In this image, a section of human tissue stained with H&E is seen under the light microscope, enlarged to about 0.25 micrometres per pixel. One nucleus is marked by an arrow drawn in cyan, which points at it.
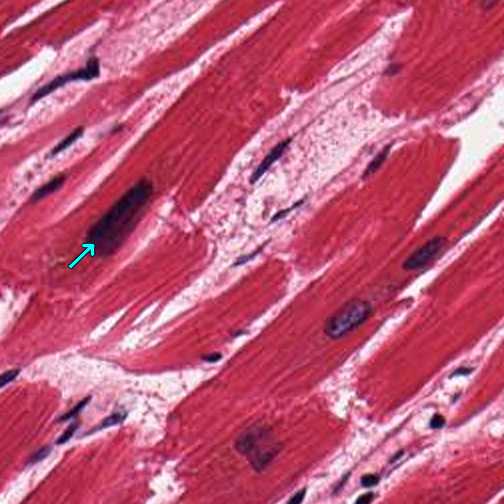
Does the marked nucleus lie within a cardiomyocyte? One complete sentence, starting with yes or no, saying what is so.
Yes, a cardiomyocyte holds the marked nucleus.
